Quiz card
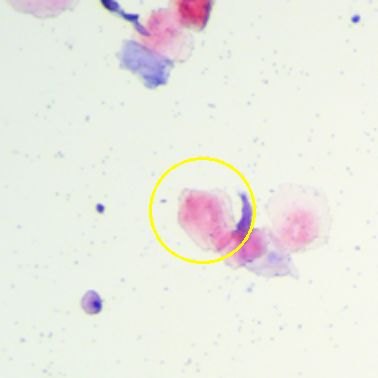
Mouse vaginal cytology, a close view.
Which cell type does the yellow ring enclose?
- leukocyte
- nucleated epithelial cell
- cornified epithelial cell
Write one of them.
cornified epithelial cell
